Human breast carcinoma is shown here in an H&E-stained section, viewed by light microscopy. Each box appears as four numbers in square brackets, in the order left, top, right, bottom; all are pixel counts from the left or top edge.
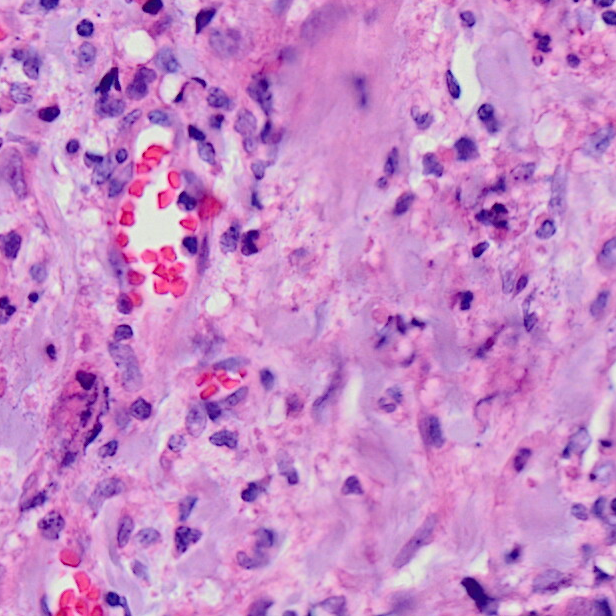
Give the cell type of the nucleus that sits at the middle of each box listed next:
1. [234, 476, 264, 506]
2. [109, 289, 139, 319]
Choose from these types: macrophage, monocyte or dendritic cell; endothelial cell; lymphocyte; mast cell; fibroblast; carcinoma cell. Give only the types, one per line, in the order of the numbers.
lymphocyte
endothelial cell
